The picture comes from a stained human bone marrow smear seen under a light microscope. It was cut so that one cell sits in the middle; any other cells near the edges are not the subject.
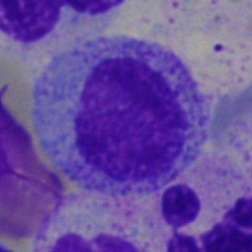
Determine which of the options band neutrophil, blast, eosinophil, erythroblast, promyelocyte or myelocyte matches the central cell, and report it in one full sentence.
The cell found in the middle of this crop is a promyelocyte.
